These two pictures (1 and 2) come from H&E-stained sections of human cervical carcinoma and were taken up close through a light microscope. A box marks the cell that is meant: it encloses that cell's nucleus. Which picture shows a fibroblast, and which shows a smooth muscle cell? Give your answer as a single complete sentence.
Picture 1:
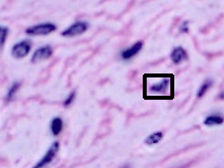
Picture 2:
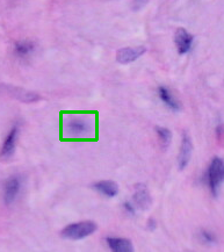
It is picture 1 that shows a smooth muscle cell, and picture 2 that shows a fibroblast.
